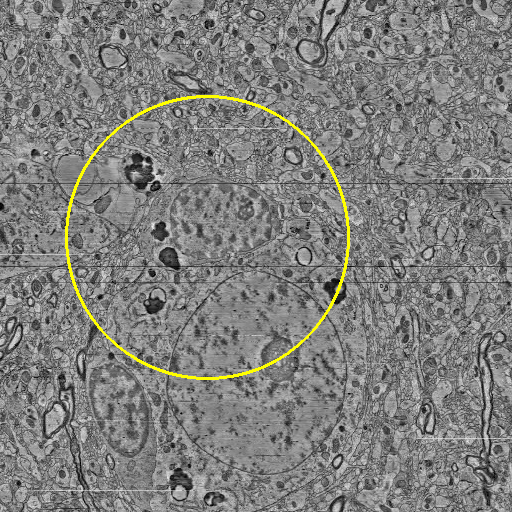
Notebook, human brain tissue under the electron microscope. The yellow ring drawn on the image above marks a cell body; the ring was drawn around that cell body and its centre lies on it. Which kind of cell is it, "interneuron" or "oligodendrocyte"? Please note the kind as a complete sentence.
The marked cell body is that of an oligodendrocyte.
